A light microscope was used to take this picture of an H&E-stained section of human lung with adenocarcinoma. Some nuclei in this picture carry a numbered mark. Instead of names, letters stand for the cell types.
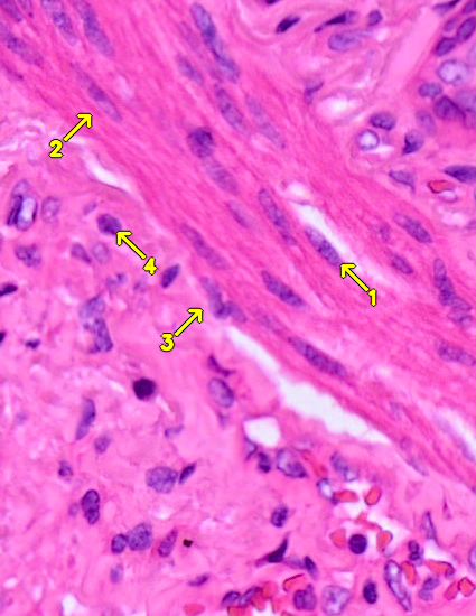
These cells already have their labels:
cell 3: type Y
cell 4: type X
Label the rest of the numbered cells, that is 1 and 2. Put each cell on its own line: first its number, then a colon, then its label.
1: type Y
2: type Y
